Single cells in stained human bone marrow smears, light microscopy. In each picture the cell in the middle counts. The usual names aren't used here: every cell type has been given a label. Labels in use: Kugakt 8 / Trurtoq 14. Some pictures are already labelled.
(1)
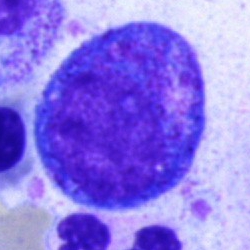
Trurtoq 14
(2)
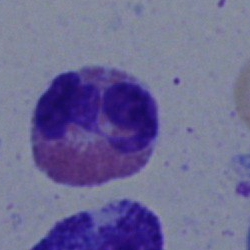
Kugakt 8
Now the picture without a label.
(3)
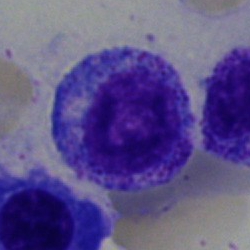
Trurtoq 14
